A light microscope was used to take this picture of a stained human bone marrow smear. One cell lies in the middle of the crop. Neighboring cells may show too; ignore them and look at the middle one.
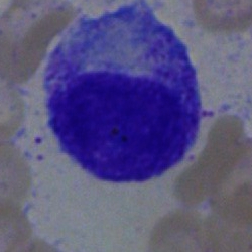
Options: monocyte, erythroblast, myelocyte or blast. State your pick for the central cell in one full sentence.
In short, the cell at the center is a myelocyte.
